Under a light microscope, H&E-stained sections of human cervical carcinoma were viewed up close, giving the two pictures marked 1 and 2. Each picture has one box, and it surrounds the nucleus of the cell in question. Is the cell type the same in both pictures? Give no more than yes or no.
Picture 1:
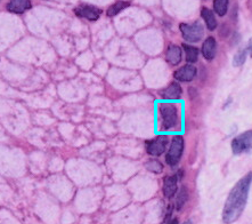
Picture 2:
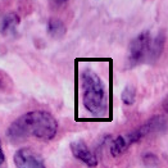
no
